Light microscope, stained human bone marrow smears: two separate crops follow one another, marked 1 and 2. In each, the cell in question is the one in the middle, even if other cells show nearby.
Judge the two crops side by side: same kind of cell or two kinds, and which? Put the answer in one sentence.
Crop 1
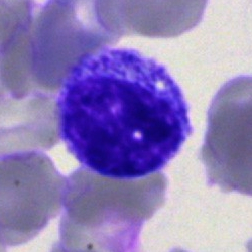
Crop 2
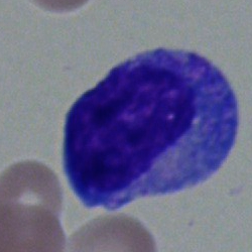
Yes, both crops show myelocytes, the one and the other.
